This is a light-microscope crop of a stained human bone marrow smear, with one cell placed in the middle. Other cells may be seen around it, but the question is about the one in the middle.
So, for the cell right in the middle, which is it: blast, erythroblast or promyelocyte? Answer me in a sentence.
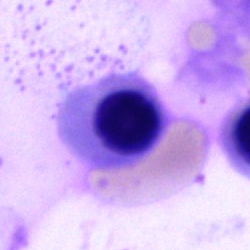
The cell at the heart of this crop is an erythroblast.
